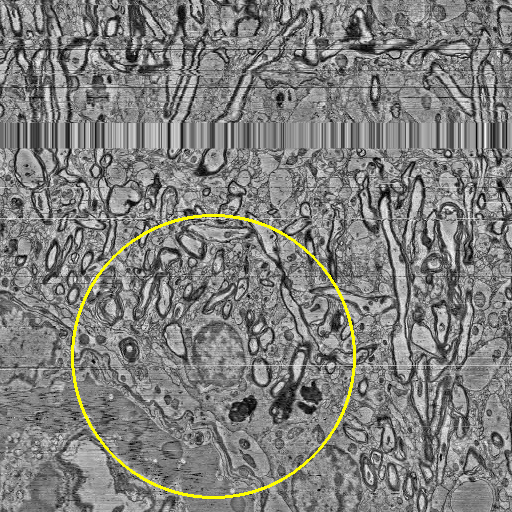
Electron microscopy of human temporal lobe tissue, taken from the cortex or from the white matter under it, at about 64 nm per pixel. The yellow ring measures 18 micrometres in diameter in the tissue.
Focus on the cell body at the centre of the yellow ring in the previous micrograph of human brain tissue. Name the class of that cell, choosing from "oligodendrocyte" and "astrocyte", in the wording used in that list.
oligodendrocyte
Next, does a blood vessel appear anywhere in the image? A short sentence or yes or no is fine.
Yes, one appears.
